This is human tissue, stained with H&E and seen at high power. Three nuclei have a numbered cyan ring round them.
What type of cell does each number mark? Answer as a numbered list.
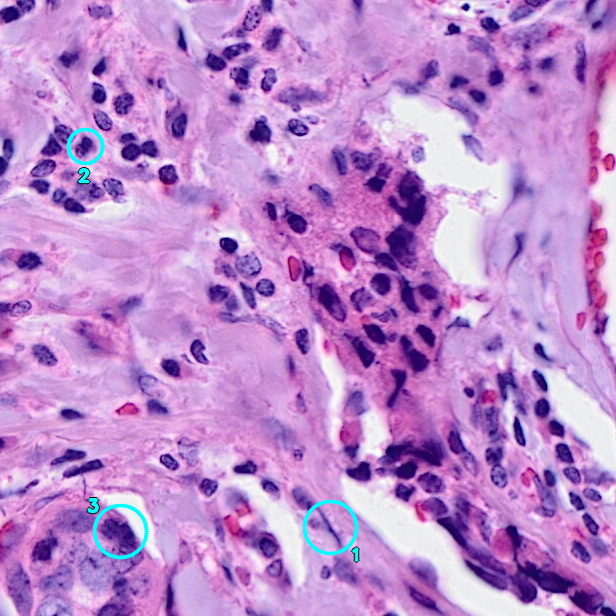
1. fibroblast
2. lymphocyte
3. carcinoma cell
